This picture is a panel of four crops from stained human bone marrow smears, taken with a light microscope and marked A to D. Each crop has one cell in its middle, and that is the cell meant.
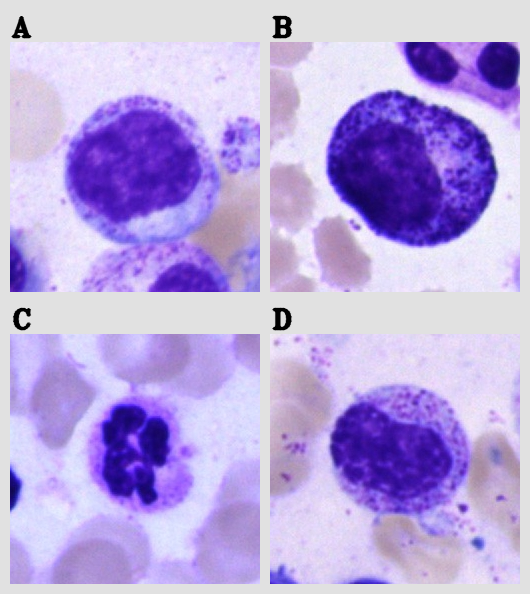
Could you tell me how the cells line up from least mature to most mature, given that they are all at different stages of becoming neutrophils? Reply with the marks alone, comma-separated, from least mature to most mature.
B, A, D, C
